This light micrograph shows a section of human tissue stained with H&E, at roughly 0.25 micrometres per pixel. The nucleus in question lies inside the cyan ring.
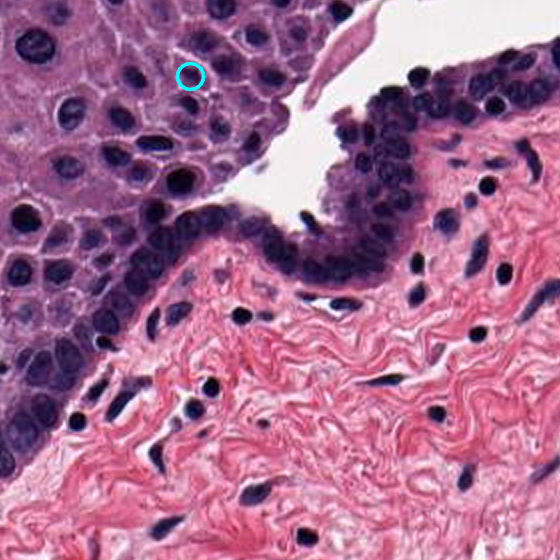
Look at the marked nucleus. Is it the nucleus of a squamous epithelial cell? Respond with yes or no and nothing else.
yes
